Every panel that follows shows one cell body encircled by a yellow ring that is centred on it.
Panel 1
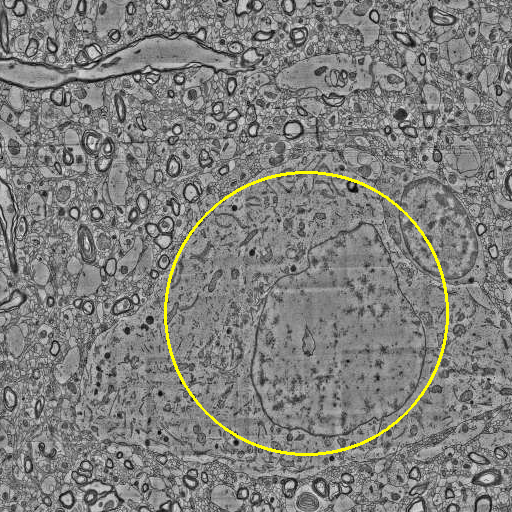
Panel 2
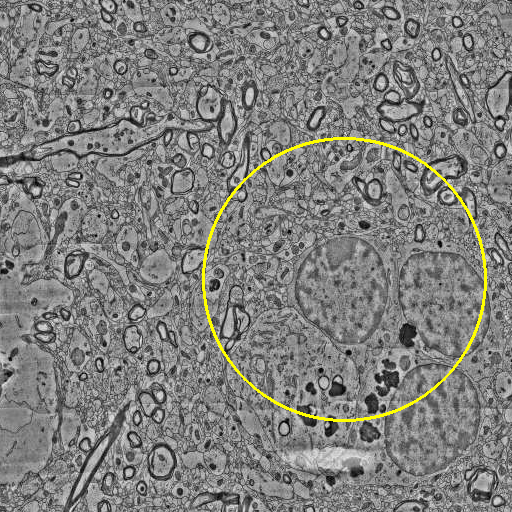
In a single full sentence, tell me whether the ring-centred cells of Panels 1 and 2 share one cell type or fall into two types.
In Panel 1 and Panel 2, the cells at the ring centres fall into two types.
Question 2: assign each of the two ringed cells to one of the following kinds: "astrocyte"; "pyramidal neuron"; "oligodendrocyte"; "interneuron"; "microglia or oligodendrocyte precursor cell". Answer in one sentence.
The two cells are a pyramidal neuron in the first picture and an oligodendrocyte in the second.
